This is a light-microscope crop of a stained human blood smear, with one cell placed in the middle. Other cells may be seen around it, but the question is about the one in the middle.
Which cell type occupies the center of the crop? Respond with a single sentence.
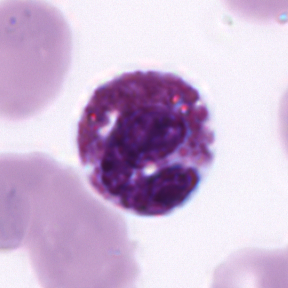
The cell at the middle of the frame should be recorded as an eosinophil.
